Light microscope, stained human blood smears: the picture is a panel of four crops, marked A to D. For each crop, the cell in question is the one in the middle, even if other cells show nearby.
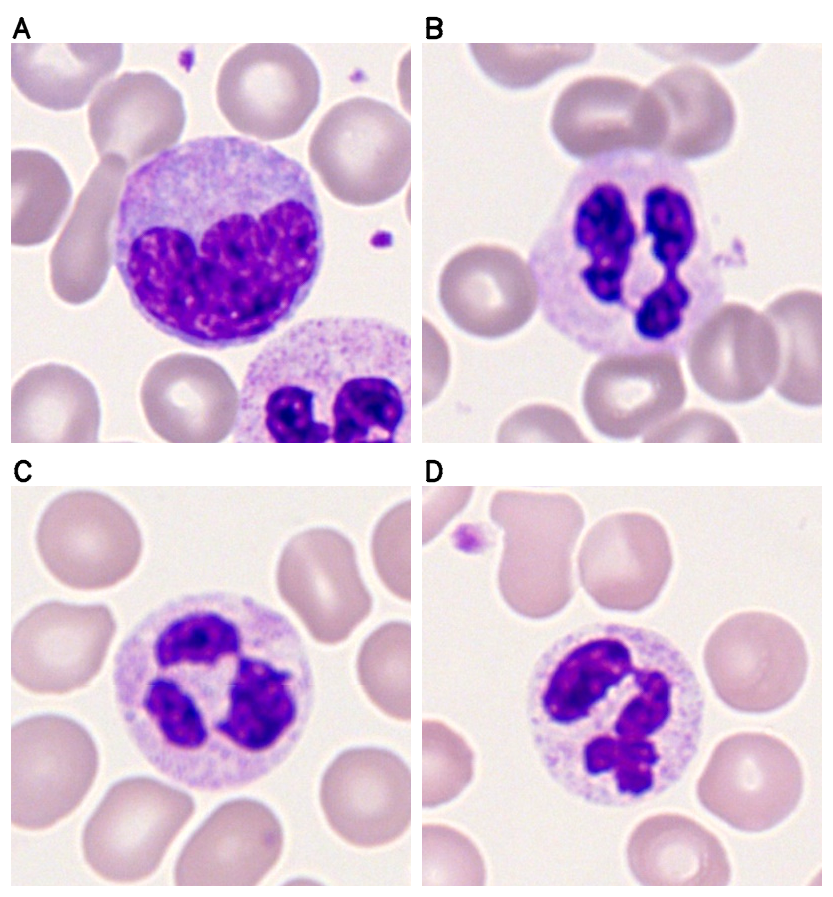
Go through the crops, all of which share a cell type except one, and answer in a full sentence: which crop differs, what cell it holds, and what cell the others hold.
The outlier here is crop A, which is a monocyte, while the remainder show segmented neutrophils.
